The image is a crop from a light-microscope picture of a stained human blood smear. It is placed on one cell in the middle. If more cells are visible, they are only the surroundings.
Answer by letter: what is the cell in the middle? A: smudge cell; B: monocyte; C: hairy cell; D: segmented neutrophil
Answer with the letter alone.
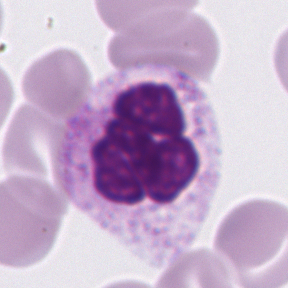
D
